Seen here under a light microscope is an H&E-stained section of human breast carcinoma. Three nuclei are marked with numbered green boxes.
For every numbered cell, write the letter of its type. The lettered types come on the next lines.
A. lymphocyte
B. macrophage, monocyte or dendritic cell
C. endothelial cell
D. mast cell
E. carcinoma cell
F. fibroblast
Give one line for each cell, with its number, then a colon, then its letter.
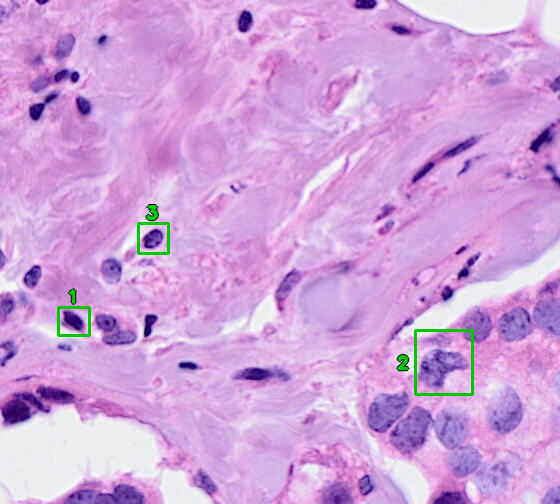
1: A
2: E
3: A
